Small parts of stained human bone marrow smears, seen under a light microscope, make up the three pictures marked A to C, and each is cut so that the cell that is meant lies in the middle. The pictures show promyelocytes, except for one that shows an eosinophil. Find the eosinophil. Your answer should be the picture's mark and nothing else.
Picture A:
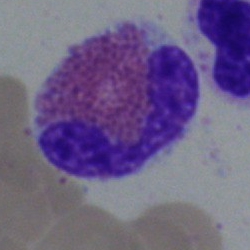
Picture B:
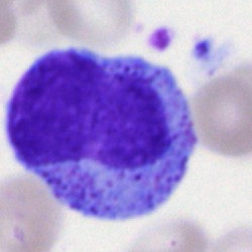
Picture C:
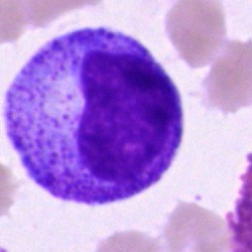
A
